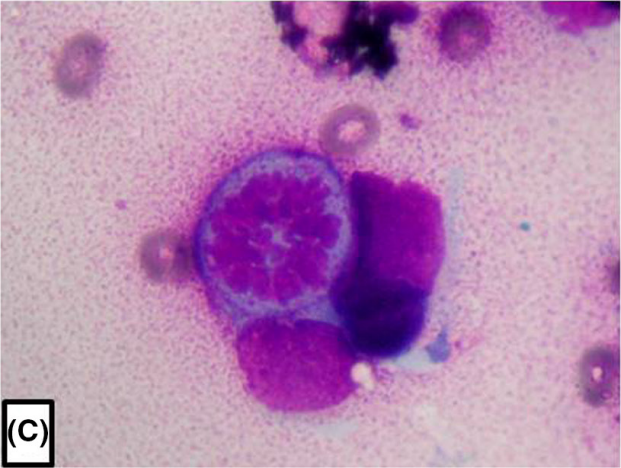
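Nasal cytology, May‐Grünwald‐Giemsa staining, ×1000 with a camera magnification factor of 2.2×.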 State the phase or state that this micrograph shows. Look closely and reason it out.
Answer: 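One large round cell shows condensed rod-like chromosomes arranged in a rosette instead of an intact nucleus. A pale bluish rim of cytoplasm surrounds the chromosome cluster. On this evidence: mitotic figures.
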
